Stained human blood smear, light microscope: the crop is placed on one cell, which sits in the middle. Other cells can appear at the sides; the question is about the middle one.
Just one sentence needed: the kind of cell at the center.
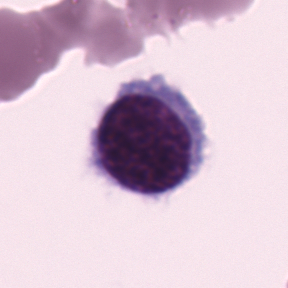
Located at the centre of the crop is a hairy cell.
